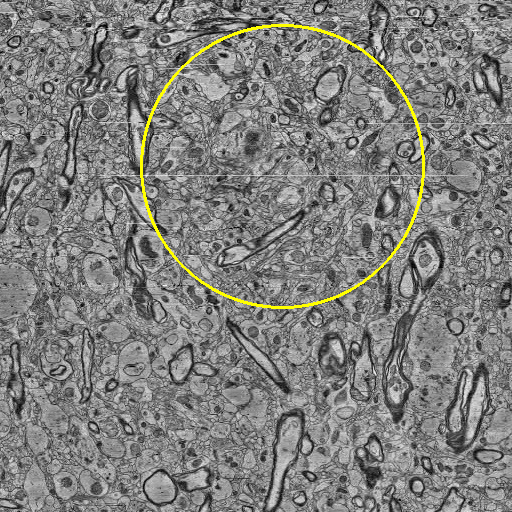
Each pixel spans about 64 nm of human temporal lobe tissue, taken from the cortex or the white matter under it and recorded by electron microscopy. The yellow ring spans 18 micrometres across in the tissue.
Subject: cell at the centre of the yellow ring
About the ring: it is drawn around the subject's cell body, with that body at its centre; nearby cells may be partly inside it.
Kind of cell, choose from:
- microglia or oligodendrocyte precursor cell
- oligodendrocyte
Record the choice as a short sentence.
The subject cell is a microglial cell or oligodendrocyte precursor cell.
